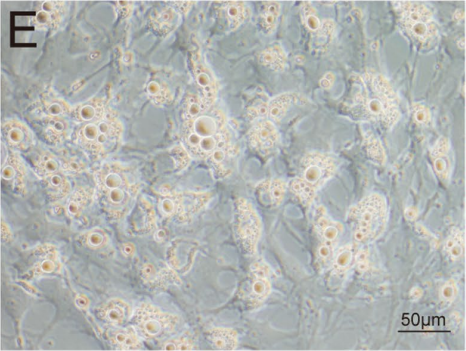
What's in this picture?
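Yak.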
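The droplets range from tiny granules to large single drops that fill much of a cell, and they cluster together within the cytoplasm. Flatter, spindle-shaped cells without droplets lie between the droplet-filled cells.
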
